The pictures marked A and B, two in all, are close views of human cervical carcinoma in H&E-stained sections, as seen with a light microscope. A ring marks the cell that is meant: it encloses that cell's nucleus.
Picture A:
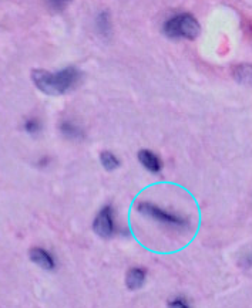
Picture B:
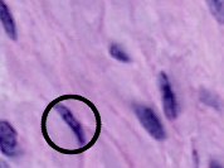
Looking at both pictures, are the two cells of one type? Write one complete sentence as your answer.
Yes; the cells in both pictures are fibroblasts.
